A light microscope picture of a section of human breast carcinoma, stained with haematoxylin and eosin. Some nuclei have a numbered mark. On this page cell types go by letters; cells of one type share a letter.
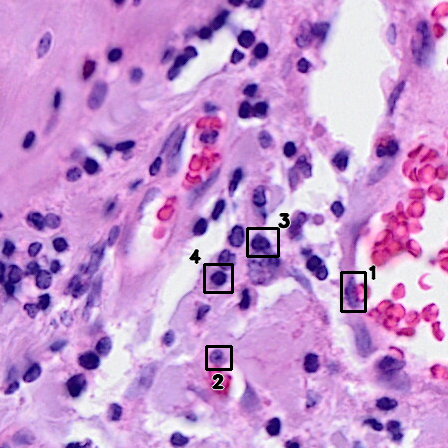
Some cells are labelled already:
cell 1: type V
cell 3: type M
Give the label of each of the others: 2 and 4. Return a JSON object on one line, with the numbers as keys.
{"2": "type V", "4": "type M"}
